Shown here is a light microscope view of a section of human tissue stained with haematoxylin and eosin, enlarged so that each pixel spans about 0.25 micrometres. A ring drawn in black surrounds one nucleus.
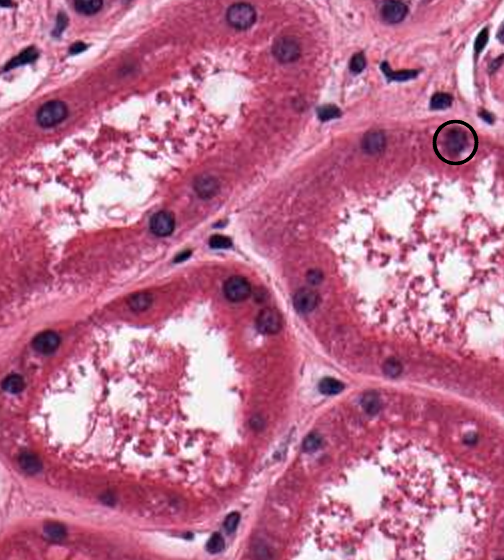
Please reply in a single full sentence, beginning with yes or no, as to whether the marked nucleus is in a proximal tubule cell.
Yes, a proximal tubule cell holds the marked nucleus.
